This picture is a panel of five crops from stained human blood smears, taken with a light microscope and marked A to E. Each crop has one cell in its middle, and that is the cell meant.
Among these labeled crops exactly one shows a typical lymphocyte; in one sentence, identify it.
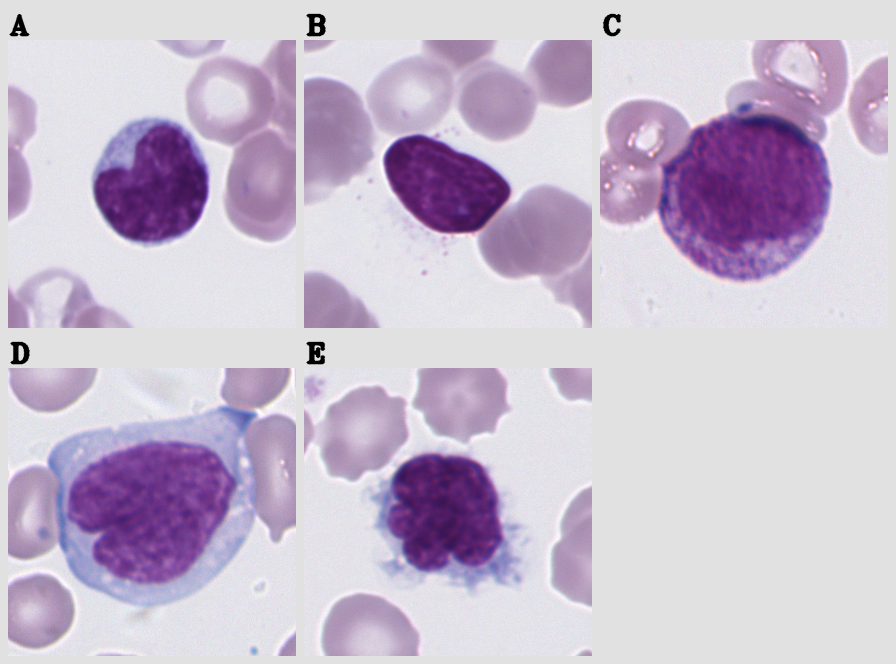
Of the labelled crops, the one that shows a typical lymphocyte is crop A.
